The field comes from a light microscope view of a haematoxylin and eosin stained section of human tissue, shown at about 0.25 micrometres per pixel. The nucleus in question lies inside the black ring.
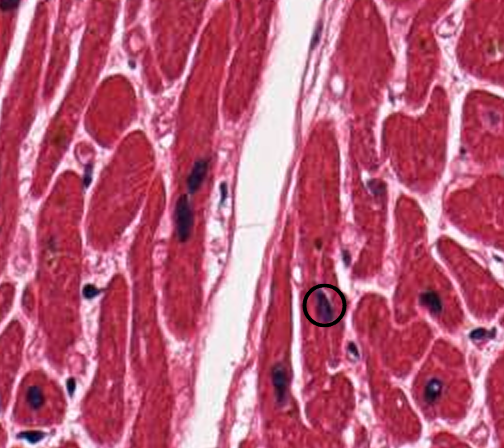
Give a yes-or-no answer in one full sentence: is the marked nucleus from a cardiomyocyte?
Yes, the marked nucleus is found within a cardiomyocyte.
